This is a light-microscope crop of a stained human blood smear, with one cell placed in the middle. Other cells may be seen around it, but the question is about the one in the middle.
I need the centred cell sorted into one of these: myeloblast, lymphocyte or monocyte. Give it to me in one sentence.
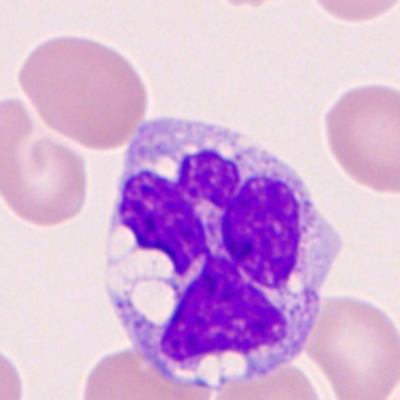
The cell centered in this field of view is a monocyte.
